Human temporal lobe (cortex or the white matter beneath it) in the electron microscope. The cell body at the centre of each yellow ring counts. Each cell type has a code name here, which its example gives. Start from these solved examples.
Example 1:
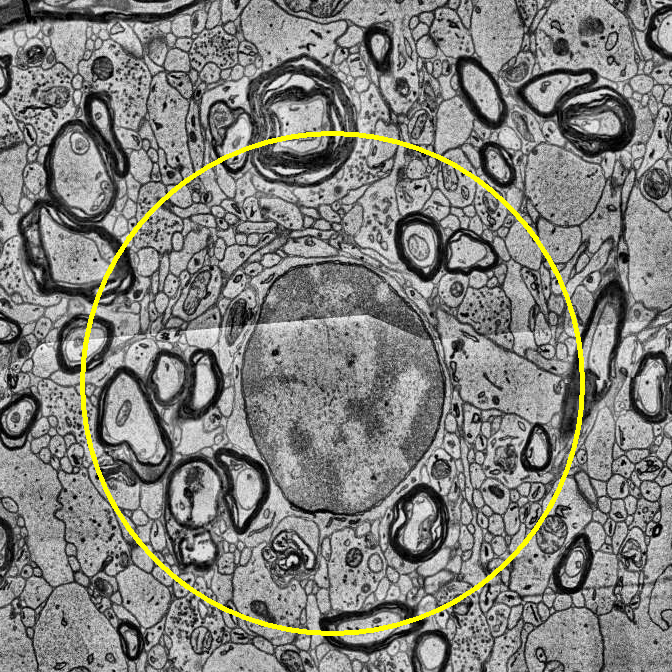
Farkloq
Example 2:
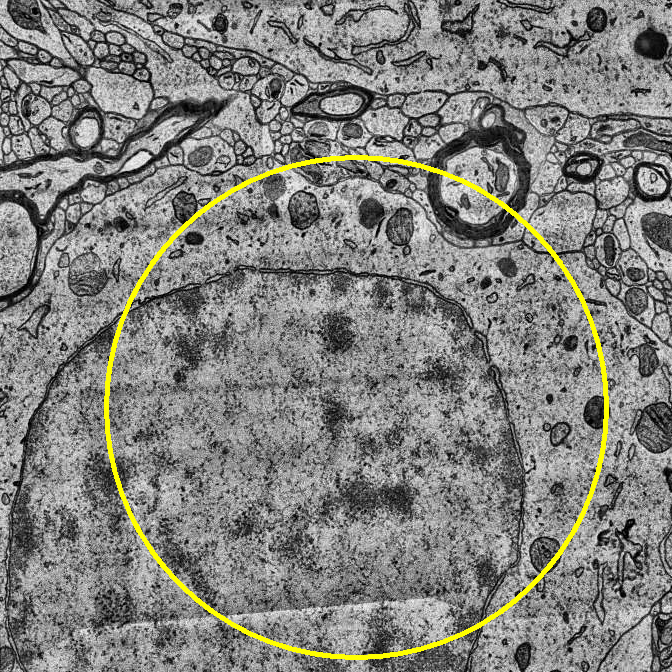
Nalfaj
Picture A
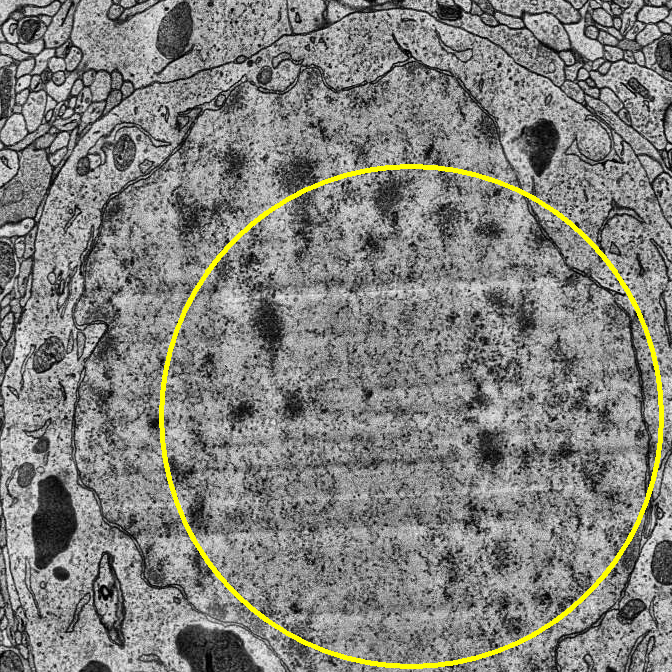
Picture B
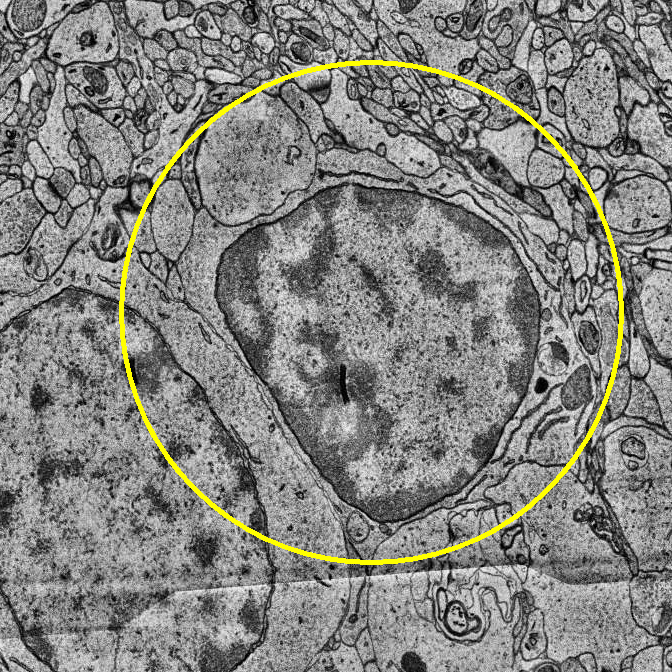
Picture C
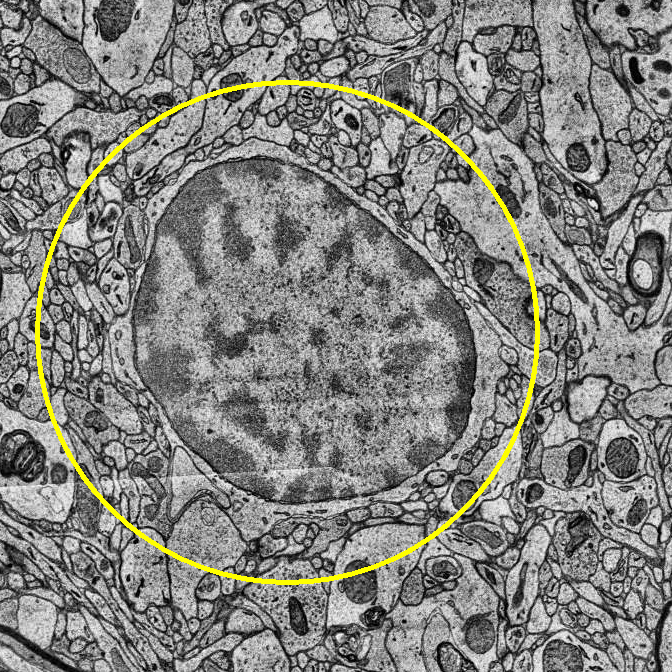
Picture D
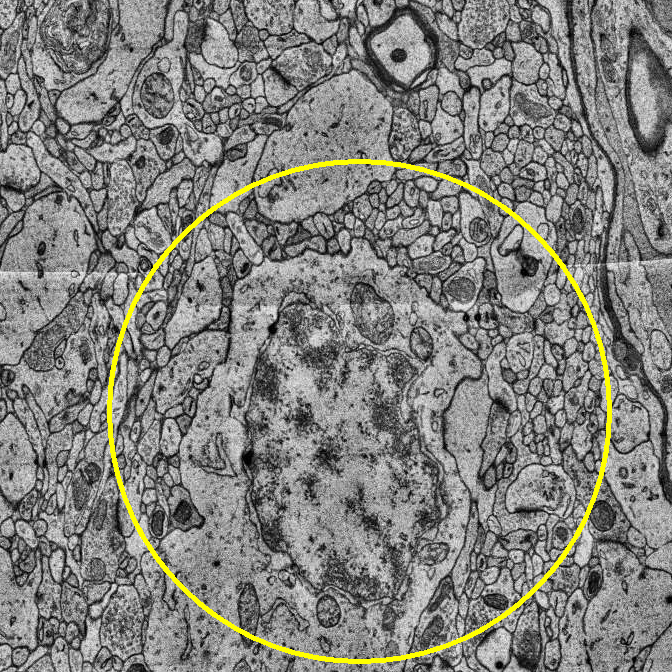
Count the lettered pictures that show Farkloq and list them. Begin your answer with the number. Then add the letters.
2: B, C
